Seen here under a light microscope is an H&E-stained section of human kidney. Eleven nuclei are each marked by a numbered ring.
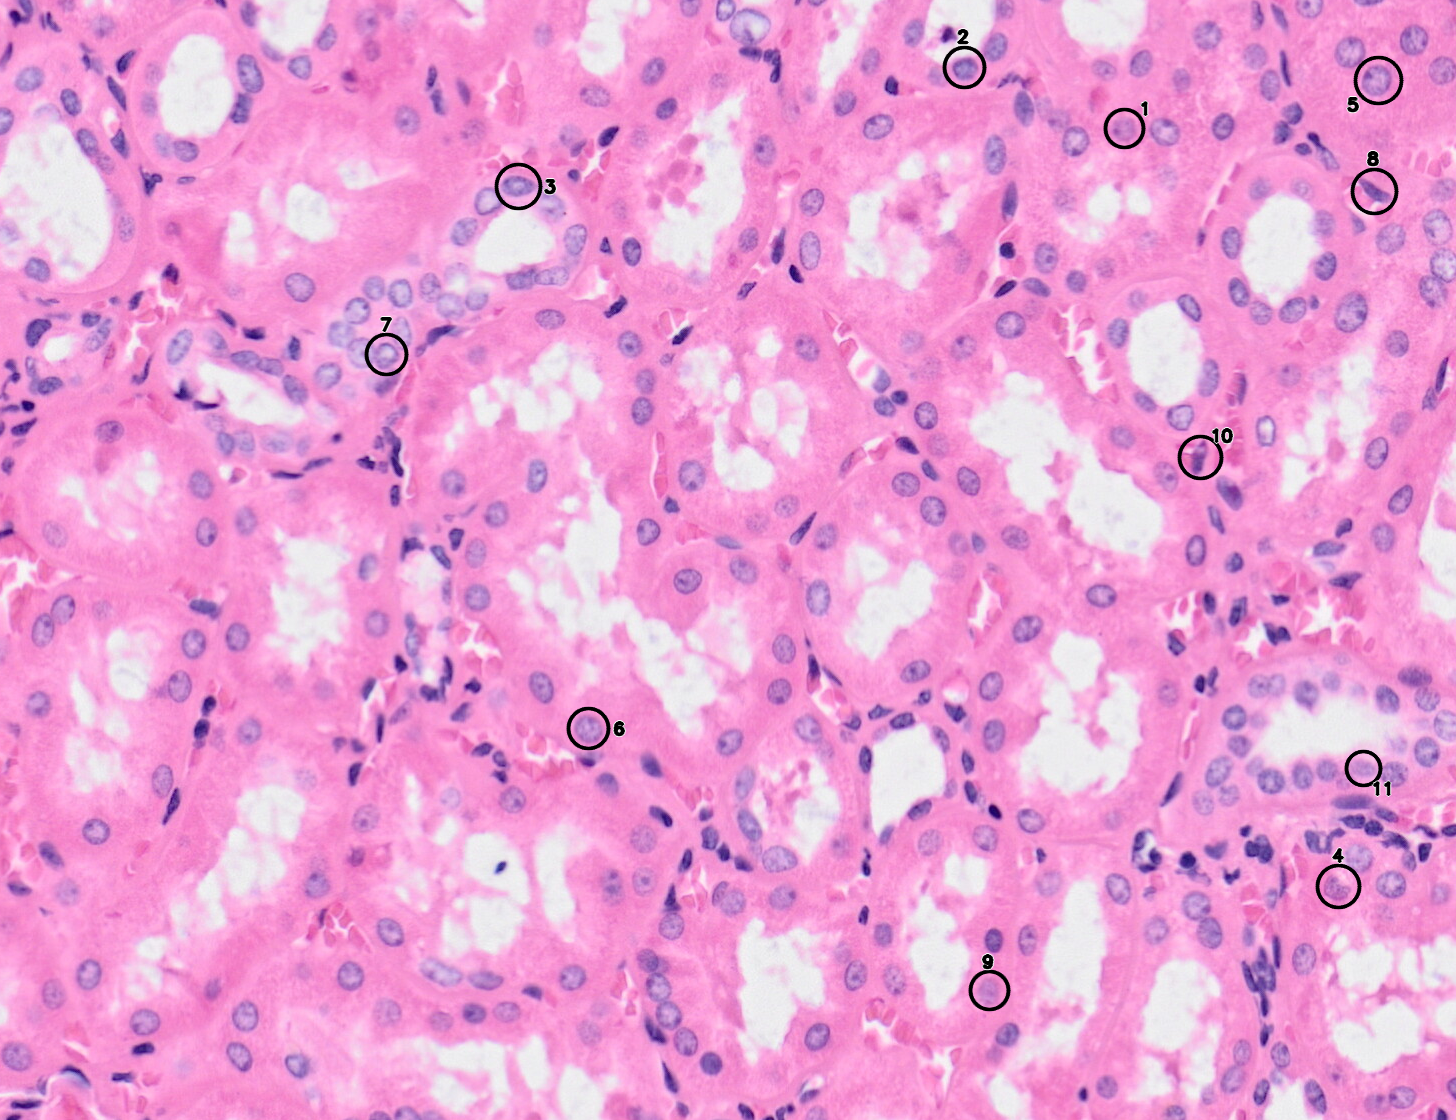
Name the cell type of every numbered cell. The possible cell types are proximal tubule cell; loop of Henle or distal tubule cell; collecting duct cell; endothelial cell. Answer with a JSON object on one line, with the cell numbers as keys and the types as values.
{"1": "proximal tubule cell", "2": "loop of Henle or distal tubule cell", "3": "collecting duct cell", "4": "proximal tubule cell", "5": "proximal tubule cell", "6": "proximal tubule cell", "7": "collecting duct cell", "8": "endothelial cell", "9": "proximal tubule cell", "10": "endothelial cell", "11": "collecting duct cell"}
